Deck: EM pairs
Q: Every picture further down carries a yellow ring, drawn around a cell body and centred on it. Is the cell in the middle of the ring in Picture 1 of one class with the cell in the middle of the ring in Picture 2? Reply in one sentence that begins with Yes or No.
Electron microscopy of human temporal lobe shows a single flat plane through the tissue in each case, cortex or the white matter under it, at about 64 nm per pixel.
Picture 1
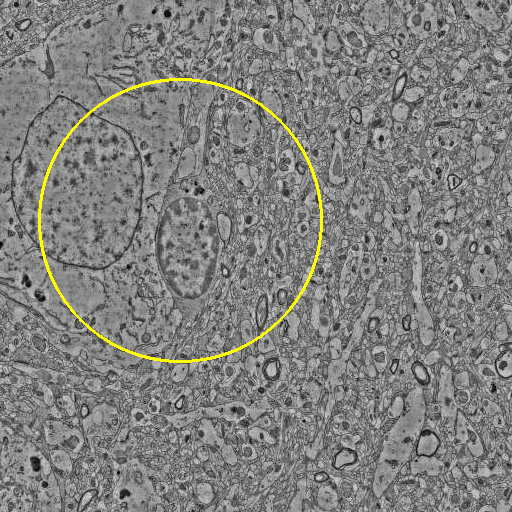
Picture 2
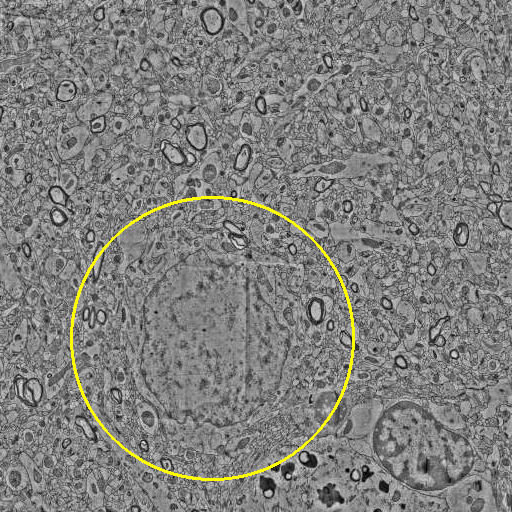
No, the cell centred in the ring of Picture 1 and the one in Picture 2 belong to separate classes.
